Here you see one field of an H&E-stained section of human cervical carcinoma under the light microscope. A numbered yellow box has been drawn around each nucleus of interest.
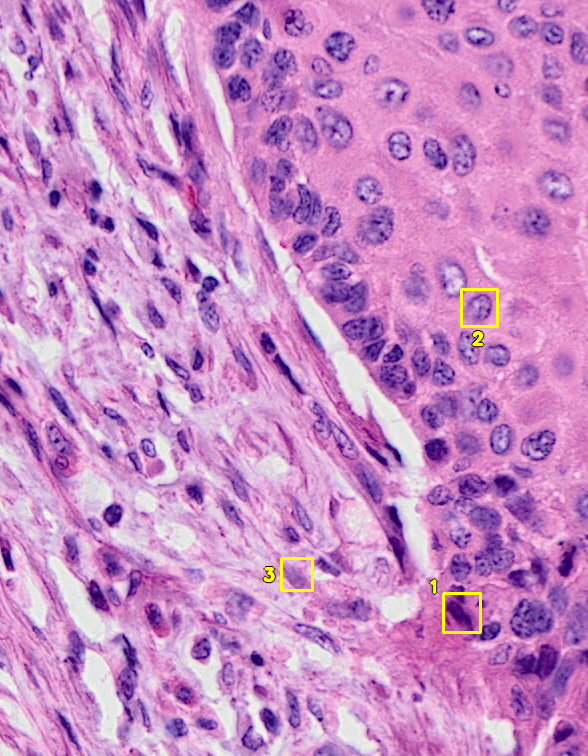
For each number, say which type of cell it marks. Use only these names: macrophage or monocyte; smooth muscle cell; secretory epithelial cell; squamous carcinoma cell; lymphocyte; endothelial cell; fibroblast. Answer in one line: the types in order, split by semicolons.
squamous carcinoma cell; squamous carcinoma cell; fibroblast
